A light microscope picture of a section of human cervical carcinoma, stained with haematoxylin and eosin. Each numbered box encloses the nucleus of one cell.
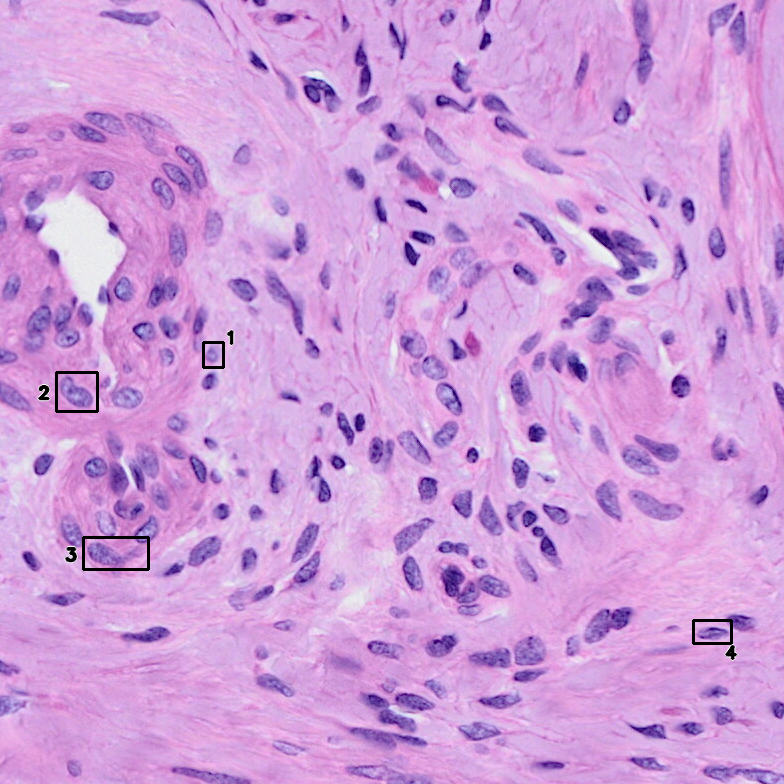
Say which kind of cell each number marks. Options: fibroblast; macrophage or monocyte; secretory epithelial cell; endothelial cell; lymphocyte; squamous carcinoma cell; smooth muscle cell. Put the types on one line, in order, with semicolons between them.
smooth muscle cell; smooth muscle cell; smooth muscle cell; fibroblast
